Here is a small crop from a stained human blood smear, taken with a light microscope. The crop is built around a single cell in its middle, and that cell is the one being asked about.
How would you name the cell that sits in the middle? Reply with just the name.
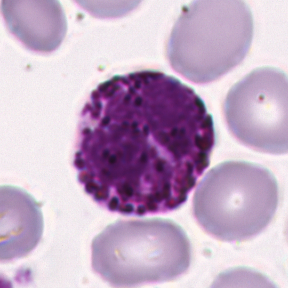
basophil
